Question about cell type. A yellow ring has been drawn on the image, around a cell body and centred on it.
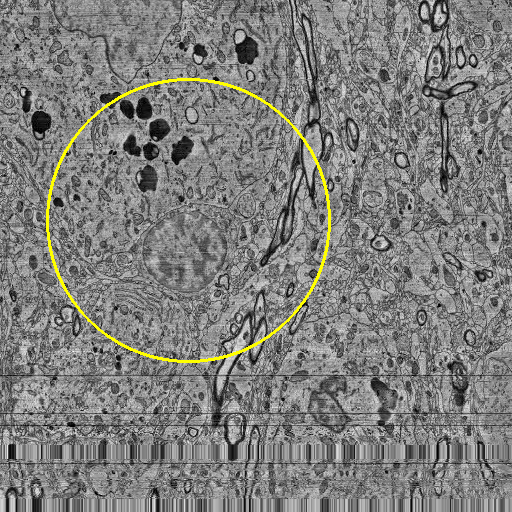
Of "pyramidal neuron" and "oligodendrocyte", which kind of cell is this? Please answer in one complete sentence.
At the centre of the ring lies an oligodendrocyte.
